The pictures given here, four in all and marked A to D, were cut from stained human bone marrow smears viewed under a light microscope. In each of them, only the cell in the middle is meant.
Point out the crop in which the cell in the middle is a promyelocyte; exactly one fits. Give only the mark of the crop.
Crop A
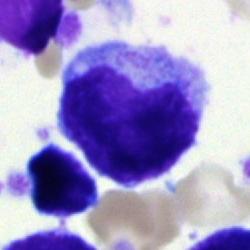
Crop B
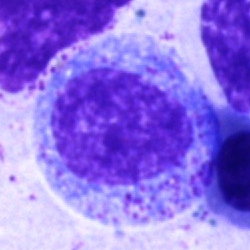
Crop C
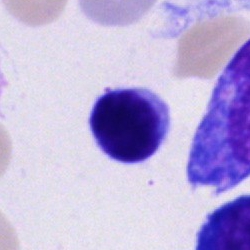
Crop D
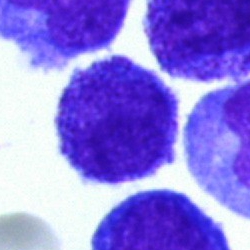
B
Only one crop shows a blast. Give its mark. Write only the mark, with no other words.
D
